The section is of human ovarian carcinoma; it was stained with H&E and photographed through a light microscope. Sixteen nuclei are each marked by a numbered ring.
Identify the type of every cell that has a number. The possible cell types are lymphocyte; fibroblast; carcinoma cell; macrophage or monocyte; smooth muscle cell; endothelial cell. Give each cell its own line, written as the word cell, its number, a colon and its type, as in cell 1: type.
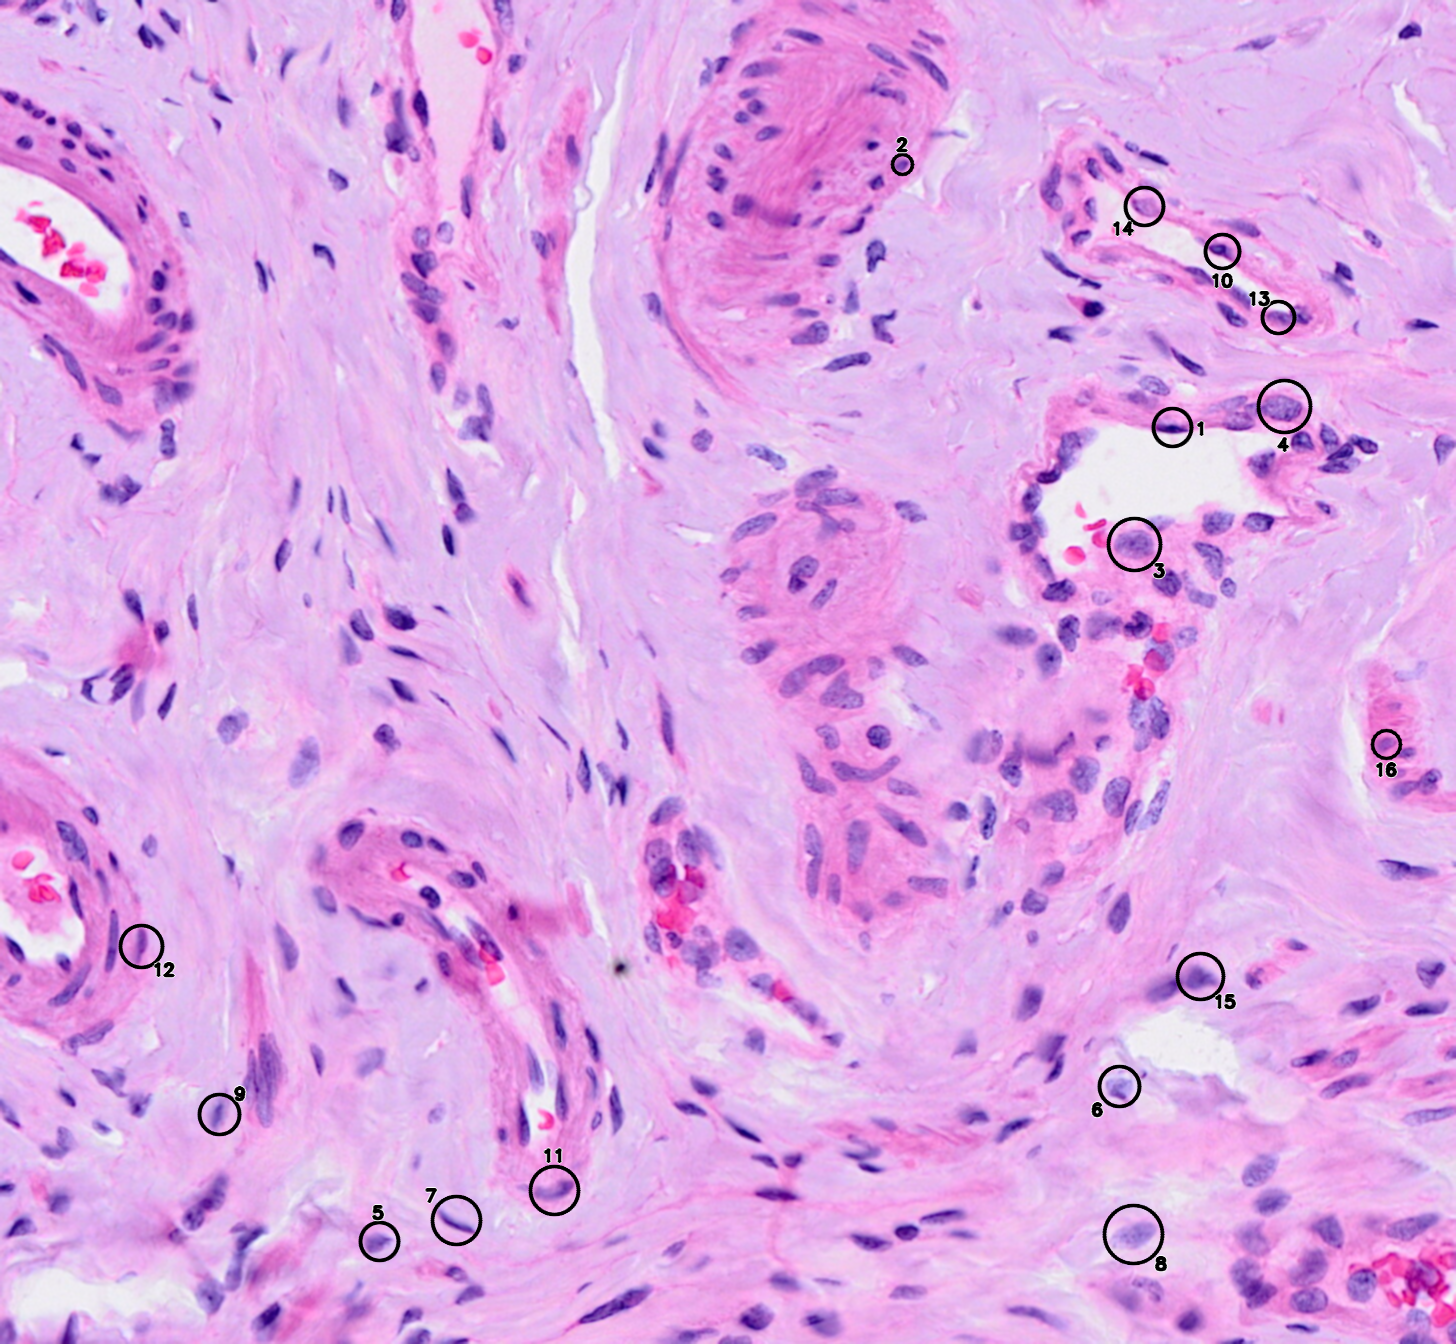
cell 1: endothelial cell
cell 2: smooth muscle cell
cell 3: endothelial cell
cell 4: endothelial cell
cell 5: fibroblast
cell 6: fibroblast
cell 7: fibroblast
cell 8: fibroblast
cell 9: fibroblast
cell 10: endothelial cell
cell 11: smooth muscle cell
cell 12: smooth muscle cell
cell 13: endothelial cell
cell 14: endothelial cell
cell 15: fibroblast
cell 16: smooth muscle cell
